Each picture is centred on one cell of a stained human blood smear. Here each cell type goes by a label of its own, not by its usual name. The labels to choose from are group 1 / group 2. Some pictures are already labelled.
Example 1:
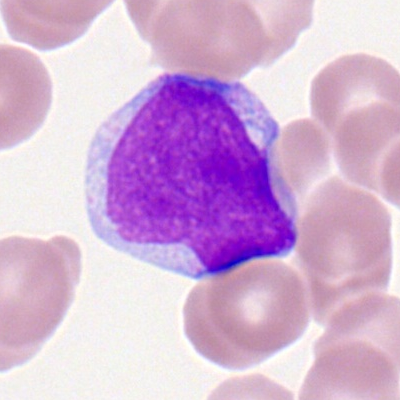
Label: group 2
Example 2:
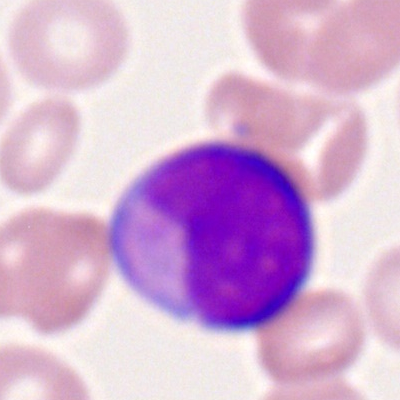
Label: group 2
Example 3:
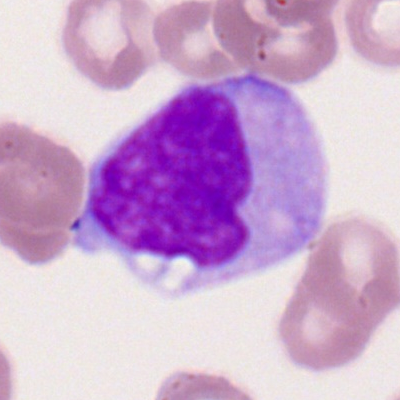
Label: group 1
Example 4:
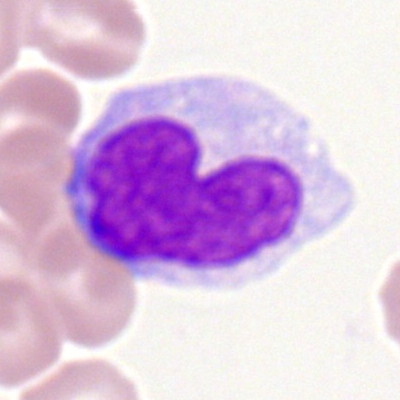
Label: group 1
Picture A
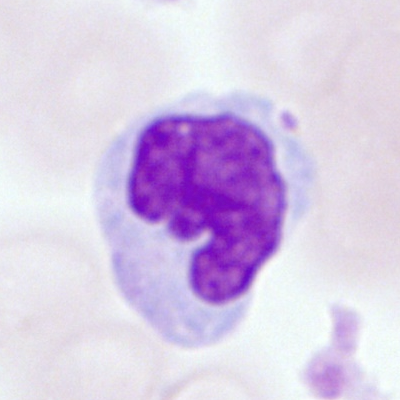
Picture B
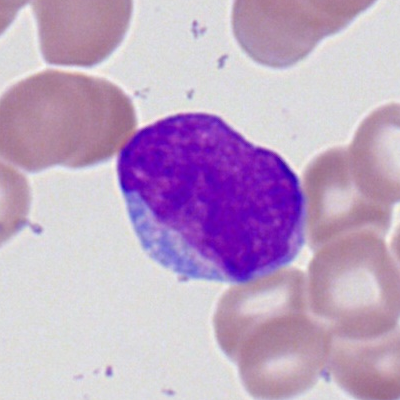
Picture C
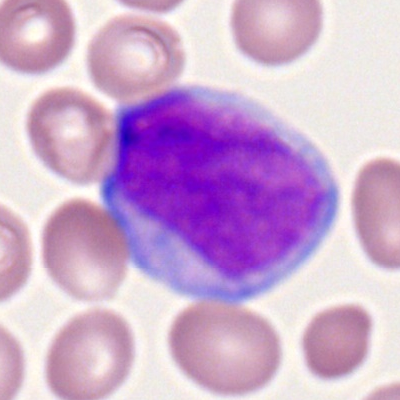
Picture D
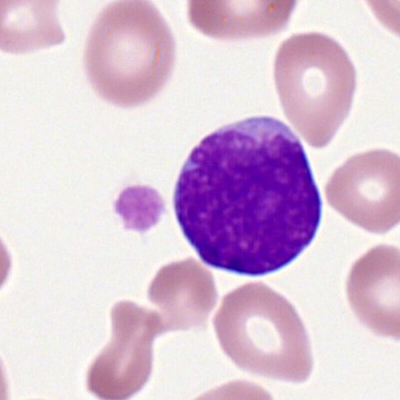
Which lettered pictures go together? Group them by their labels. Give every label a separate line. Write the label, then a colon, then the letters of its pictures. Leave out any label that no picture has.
group 1: A
group 2: B, C, D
